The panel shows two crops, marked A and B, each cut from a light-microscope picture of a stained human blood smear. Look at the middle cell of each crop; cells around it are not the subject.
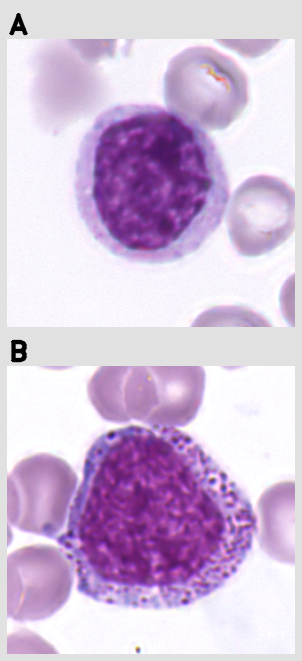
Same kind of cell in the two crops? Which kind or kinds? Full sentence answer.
No, crop B shows a promyelocyte, and crop A shows a myelocyte.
